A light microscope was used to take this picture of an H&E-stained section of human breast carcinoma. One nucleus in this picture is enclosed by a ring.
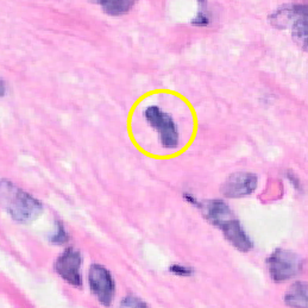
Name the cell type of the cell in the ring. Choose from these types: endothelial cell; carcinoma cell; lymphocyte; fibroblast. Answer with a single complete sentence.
In cellular terms, the cell in the ring is a lymphocyte.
